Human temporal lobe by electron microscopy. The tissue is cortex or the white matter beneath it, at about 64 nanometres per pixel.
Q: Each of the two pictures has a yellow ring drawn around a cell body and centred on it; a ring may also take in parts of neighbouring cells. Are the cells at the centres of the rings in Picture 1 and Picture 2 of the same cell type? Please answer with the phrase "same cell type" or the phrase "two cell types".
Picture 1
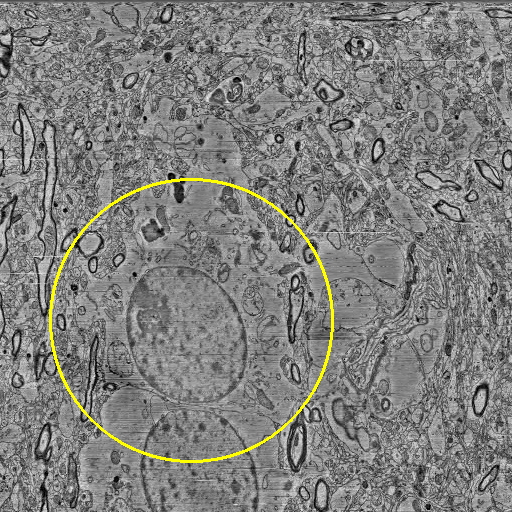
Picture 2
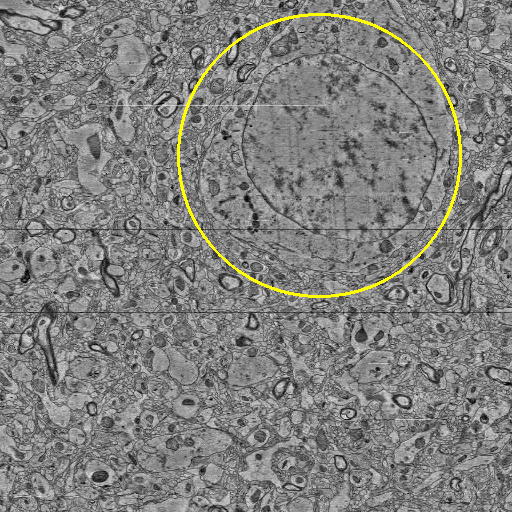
two cell types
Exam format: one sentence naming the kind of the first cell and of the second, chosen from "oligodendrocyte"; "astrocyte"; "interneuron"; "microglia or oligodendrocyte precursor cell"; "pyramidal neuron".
The first picture's cell is an astrocyte, and the second picture's cell is a pyramidal neuron.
